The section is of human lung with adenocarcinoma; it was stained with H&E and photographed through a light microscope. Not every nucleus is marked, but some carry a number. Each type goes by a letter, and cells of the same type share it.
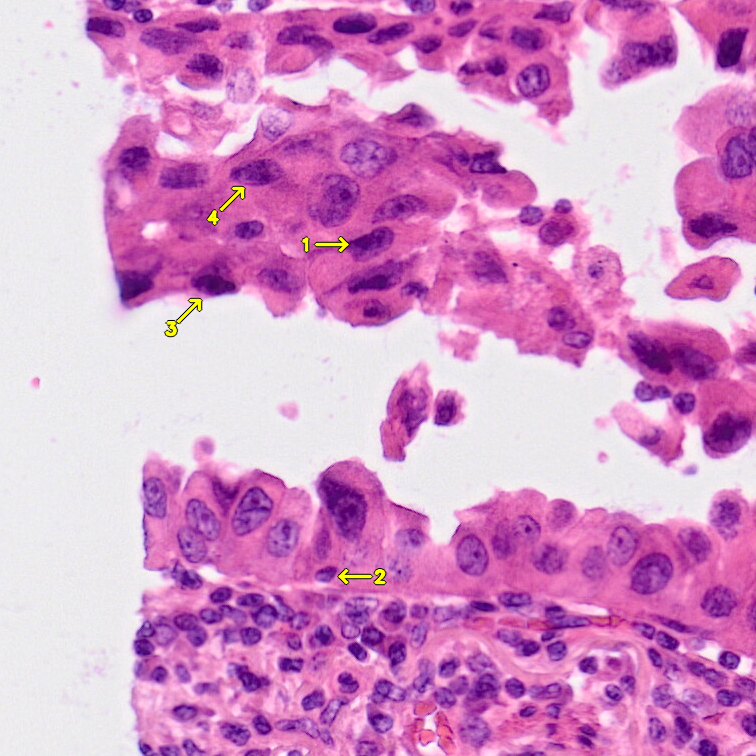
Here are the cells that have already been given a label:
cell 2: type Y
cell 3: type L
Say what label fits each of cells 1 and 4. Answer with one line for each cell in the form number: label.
1: type L
4: type L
